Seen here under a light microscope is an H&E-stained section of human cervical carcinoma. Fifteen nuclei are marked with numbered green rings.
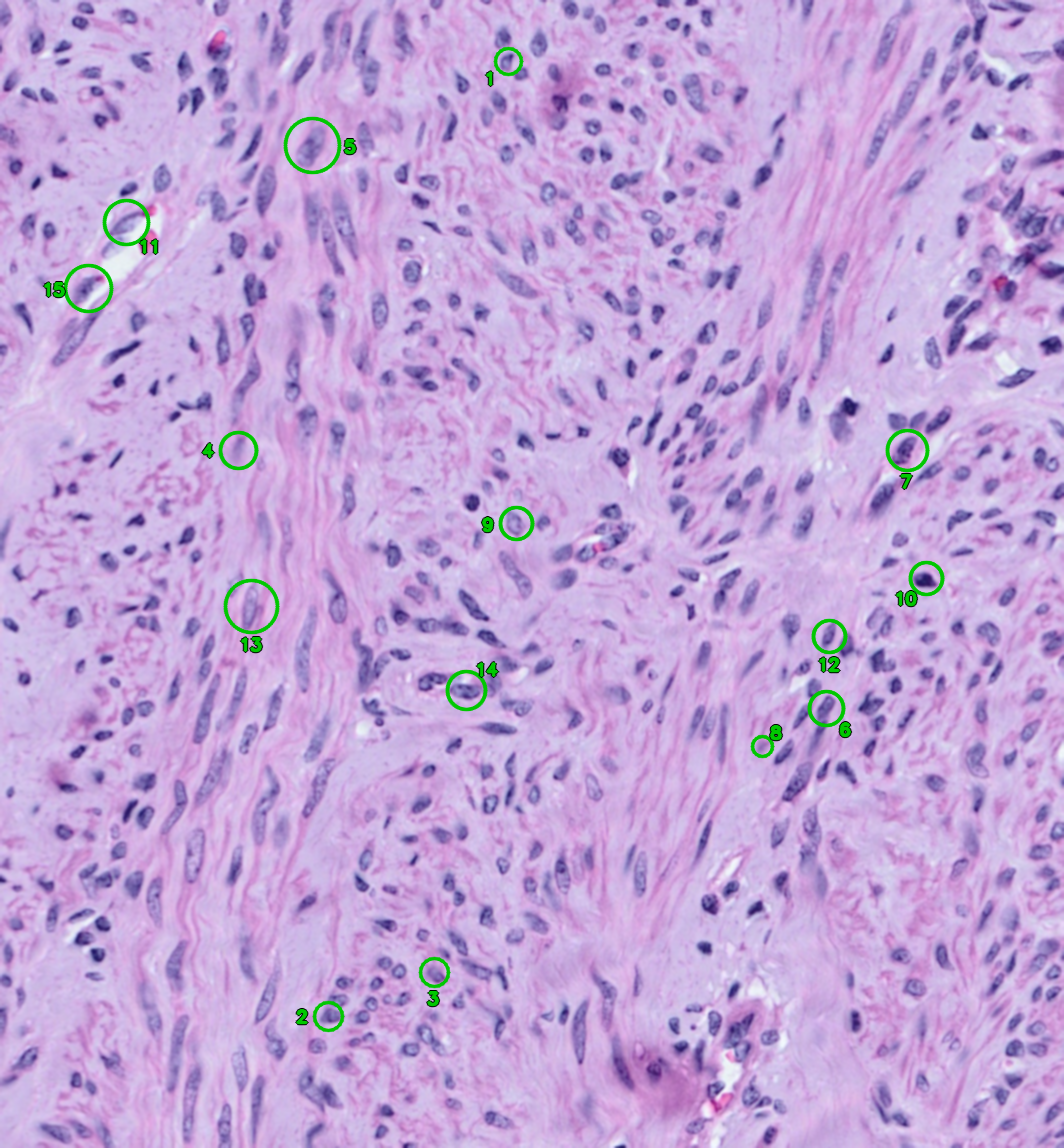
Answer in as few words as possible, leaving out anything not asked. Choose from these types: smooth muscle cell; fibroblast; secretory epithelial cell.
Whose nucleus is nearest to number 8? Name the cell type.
fibroblast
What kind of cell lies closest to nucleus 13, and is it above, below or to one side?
a smooth muscle cell; above and to the left of nucleus 13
